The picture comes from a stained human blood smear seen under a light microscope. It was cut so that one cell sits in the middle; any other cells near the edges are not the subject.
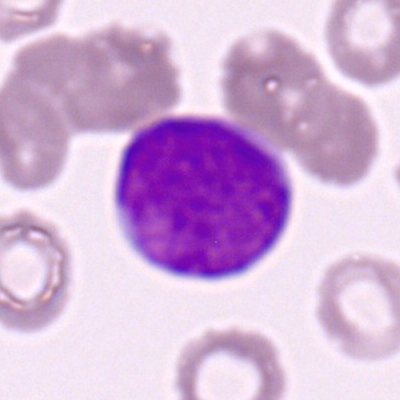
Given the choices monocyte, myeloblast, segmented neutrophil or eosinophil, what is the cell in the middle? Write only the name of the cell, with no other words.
myeloblast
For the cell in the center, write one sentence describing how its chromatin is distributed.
Chromatin in the nucleus here is coarsely clumped.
